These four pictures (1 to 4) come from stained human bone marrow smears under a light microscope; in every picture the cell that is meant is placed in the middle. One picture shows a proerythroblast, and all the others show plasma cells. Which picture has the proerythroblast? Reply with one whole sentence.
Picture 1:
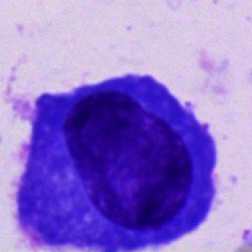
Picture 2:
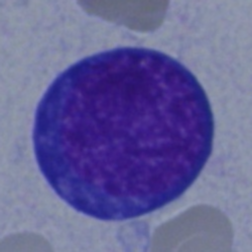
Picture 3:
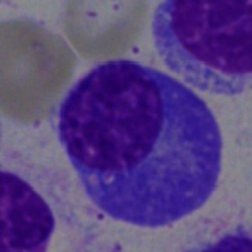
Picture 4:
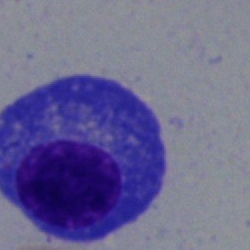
Picture 2 is the one that shows the proerythroblast.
